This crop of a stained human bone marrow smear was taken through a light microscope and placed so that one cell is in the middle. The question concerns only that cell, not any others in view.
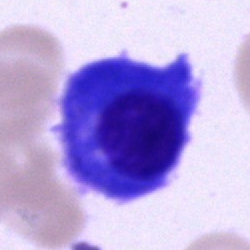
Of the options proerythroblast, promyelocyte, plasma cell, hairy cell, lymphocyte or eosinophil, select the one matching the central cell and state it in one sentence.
The cell at the heart of this crop is a plasma cell.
